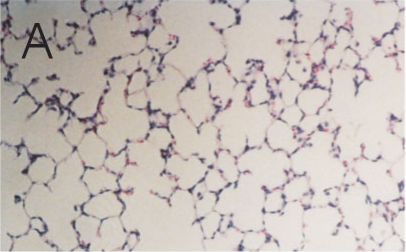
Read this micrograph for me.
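The field is filled with open, rounded air spaces of lung tissue separated by thin, delicate walls. The walls are one or a few cells thick, with scattered purple nuclei and faint pink cytoplasm, and the spaces themselves are empty and clear. This is the normal lacy architecture of peripheral lung alveoli.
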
